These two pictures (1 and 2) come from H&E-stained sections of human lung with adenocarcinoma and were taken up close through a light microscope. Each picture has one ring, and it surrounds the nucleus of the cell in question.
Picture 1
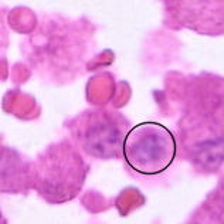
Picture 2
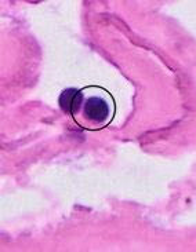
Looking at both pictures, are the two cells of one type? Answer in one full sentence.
No. Picture 1 shows a “macrophage or monocyte”, but picture 2 shows a lymphocyte.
